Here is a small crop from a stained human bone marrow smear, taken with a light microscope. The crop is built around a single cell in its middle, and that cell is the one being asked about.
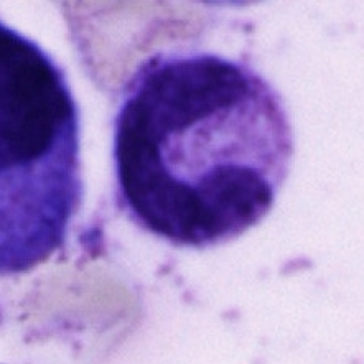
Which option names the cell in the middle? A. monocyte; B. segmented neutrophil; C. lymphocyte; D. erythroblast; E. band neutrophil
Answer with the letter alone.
E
